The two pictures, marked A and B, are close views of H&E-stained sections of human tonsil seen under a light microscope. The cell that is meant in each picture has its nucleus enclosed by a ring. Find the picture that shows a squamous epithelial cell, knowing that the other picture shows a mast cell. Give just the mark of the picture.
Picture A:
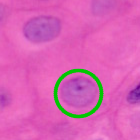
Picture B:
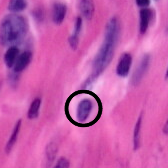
A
